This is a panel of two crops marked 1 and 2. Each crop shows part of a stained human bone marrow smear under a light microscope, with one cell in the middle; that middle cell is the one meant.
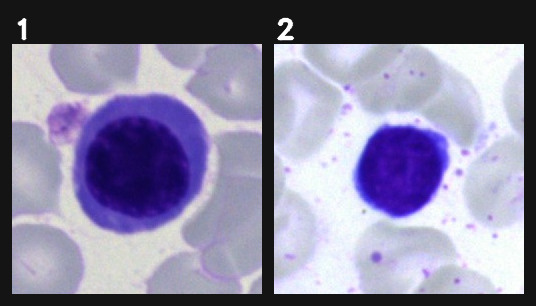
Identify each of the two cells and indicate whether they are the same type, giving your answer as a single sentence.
No, just to correct that: crop 1 shows an erythroblast, crop 2 shows a lymphocyte.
